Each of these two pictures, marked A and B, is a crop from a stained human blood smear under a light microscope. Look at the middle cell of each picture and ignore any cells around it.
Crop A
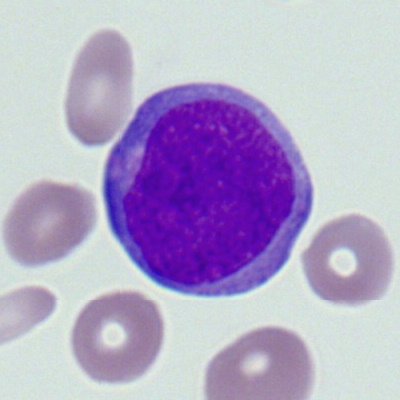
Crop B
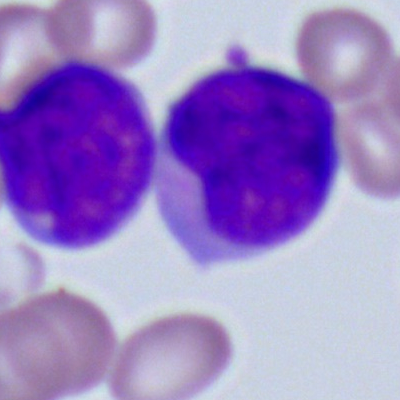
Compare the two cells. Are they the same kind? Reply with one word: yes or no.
yes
